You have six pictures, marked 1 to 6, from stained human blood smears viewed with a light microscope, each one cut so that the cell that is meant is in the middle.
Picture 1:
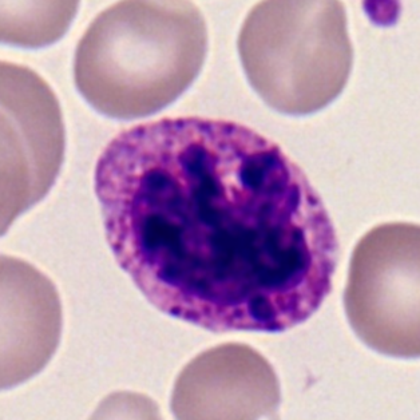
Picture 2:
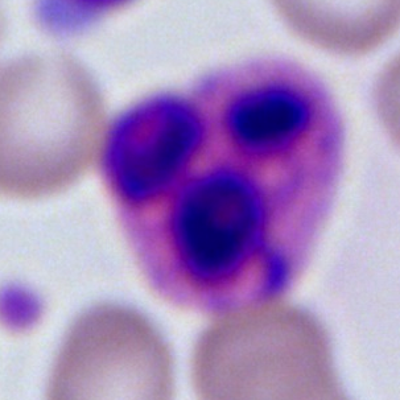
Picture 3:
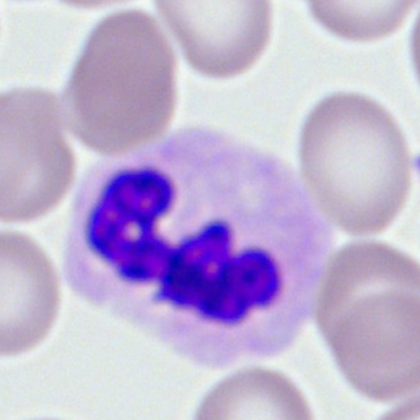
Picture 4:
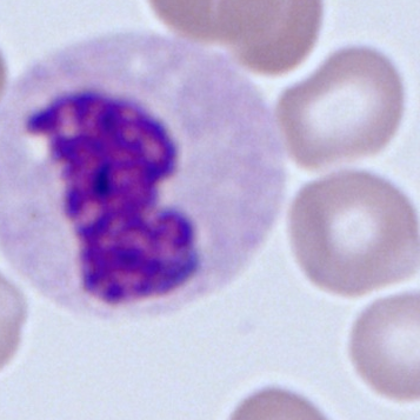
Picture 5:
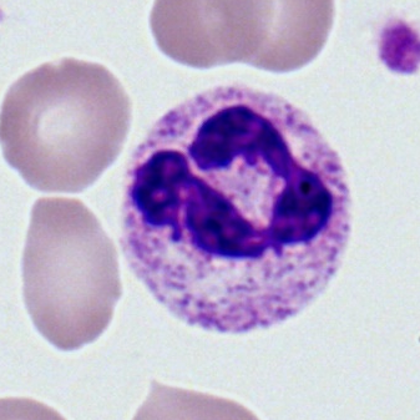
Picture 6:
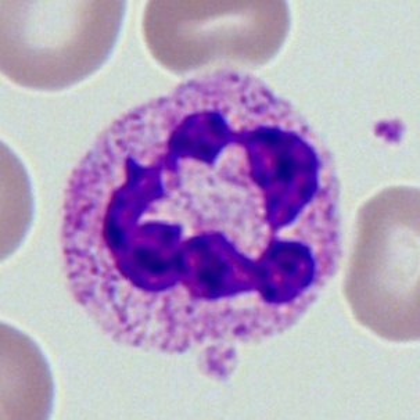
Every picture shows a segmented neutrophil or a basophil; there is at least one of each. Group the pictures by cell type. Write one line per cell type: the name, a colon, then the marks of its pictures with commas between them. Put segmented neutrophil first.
segmented neutrophil: 3, 4, 5, 6
basophil: 1, 2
